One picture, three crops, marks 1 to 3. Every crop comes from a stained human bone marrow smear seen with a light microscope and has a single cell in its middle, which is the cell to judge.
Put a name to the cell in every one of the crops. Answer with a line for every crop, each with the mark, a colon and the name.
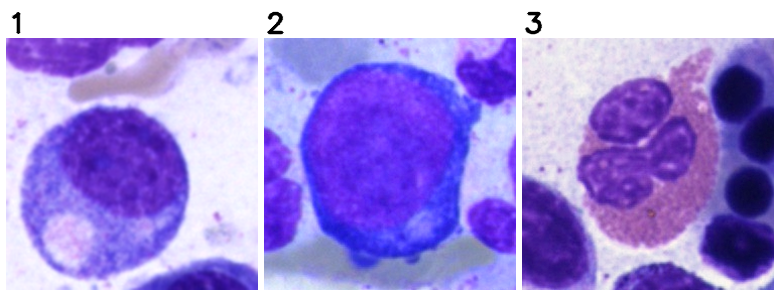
1: promyelocyte
2: proerythroblast
3: eosinophil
